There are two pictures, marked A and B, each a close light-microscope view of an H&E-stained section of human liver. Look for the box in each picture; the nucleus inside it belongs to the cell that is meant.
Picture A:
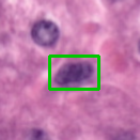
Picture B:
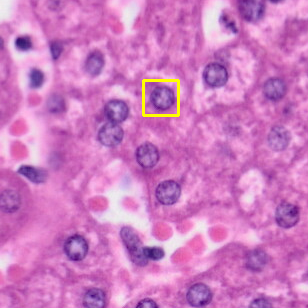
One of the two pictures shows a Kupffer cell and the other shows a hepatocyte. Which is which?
A: Kupffer cell
B: hepatocyte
